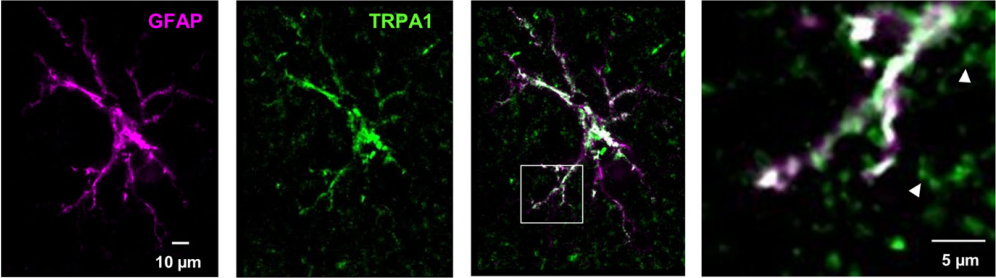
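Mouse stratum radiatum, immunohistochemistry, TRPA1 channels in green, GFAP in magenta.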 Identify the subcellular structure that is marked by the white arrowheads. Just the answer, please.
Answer: Distal processes.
